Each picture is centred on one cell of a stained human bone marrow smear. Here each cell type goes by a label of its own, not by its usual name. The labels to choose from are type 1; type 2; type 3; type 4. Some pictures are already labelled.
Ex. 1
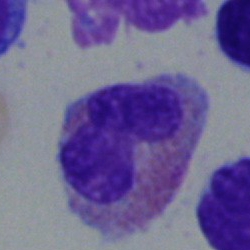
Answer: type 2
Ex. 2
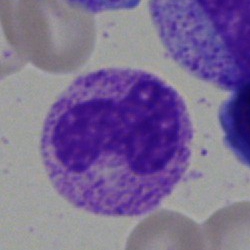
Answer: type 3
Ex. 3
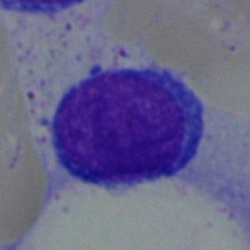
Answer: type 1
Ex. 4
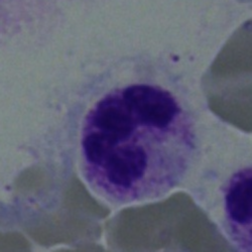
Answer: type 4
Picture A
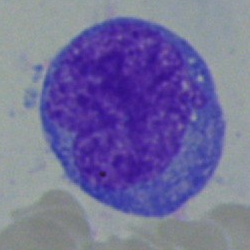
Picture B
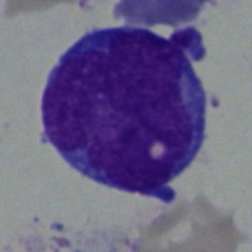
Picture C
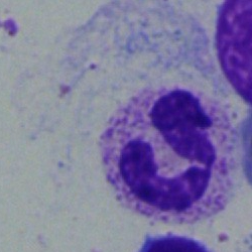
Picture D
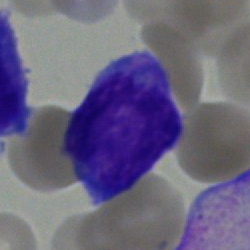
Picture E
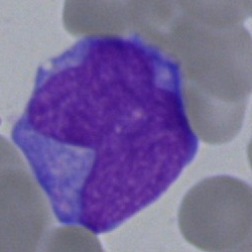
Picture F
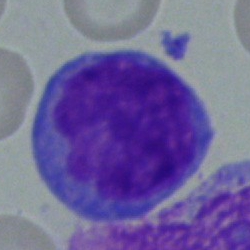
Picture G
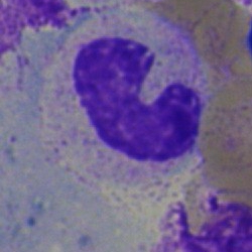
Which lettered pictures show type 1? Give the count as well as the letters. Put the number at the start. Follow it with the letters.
5: A, B, D, E, F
